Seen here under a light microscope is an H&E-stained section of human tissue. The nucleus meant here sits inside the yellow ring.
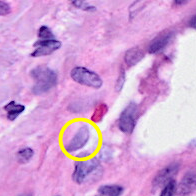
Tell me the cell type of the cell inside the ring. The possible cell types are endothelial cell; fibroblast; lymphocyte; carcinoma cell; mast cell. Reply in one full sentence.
Just put down that the cell inside the ring is an endothelial cell.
